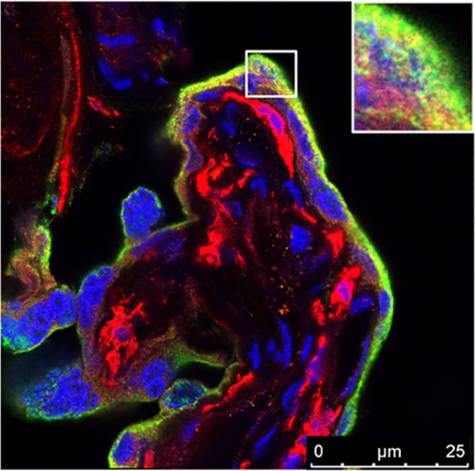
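This is a section through a placental villus, a branching projection of tissue with a free surface facing an empty space. Its outer edge is covered by a thin continuous epithelial layer whose nuclei, stained blue, lie in a row beneath the surface, and the outermost rim of this layer glows green with yellow where it overlaps red. Inside the projection is a core of stromal tissue with scattered oval blue nuclei and strands and patches of bright red label between them. A white box marks part of the surface layer at the tip, enlarged in the corner, where green, red and yellow mix along the edge.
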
